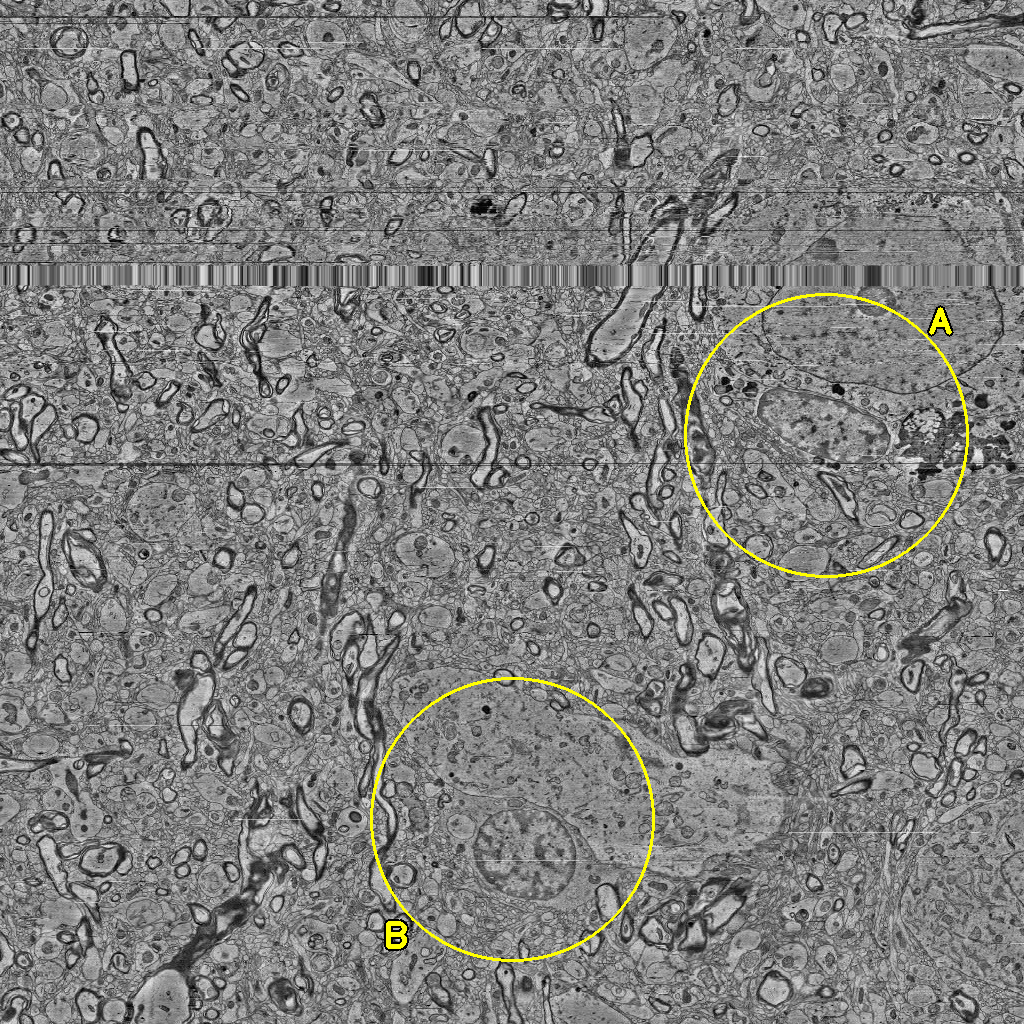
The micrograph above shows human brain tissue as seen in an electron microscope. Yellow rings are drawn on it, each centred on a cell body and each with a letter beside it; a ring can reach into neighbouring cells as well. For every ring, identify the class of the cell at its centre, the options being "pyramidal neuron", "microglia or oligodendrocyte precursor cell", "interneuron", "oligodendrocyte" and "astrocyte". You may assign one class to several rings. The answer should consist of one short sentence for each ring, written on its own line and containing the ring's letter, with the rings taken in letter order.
The ring lettered A is centred on a microglial cell or oligodendrocyte precursor cell.
The ring lettered B is centred on an oligodendrocyte.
